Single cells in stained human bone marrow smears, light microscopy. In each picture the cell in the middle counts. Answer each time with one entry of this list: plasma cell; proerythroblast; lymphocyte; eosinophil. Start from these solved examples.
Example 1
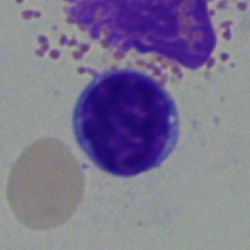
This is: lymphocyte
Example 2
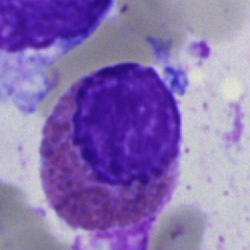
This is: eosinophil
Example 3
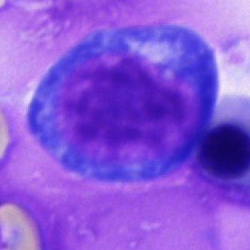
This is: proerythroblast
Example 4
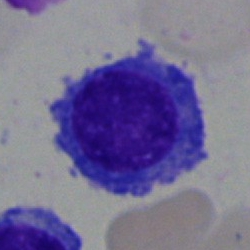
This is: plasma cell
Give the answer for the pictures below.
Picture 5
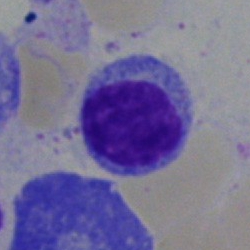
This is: lymphocyte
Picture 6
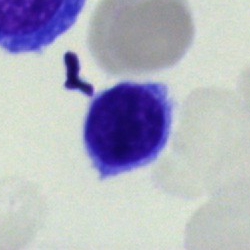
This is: lymphocyte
